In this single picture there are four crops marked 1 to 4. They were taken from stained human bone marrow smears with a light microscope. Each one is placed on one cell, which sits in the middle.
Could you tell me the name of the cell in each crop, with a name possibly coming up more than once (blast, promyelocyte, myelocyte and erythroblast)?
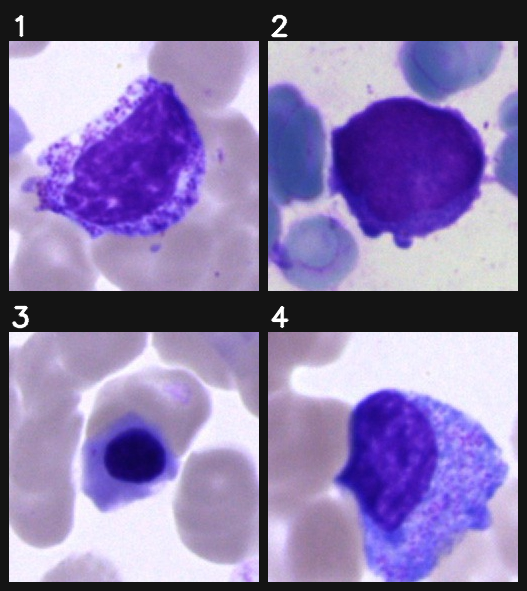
1: myelocyte
2: blast
3: erythroblast
4: promyelocyte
